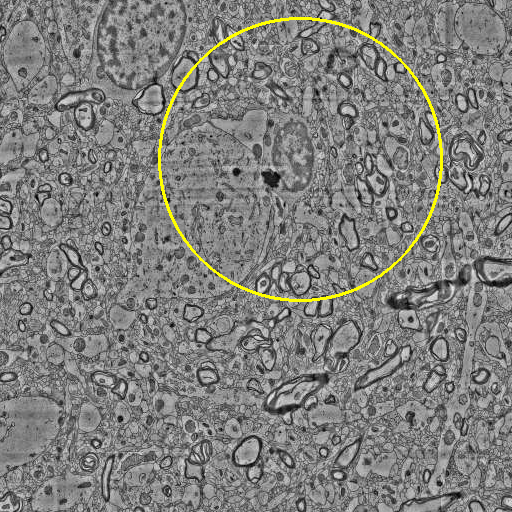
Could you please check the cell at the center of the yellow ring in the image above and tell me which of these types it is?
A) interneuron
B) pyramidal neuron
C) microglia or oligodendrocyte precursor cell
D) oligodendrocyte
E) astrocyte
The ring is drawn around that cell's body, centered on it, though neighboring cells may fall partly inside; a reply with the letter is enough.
D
